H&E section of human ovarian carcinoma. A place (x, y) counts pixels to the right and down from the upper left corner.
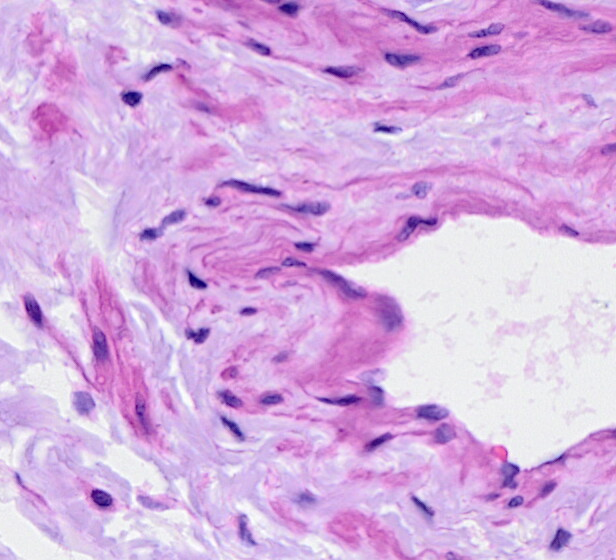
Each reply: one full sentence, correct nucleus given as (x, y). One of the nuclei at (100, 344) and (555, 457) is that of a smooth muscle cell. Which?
The nucleus that belongs to a smooth muscle cell sits at (100, 344).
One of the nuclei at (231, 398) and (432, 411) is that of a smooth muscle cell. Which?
The nucleus whose position is (231, 398) belongs to a smooth muscle cell.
